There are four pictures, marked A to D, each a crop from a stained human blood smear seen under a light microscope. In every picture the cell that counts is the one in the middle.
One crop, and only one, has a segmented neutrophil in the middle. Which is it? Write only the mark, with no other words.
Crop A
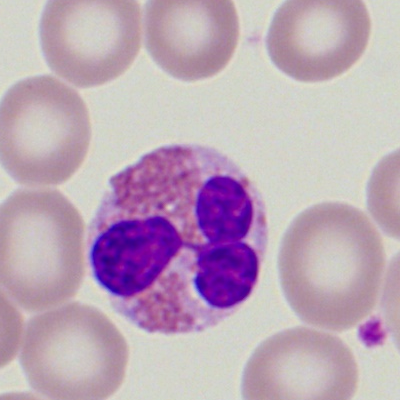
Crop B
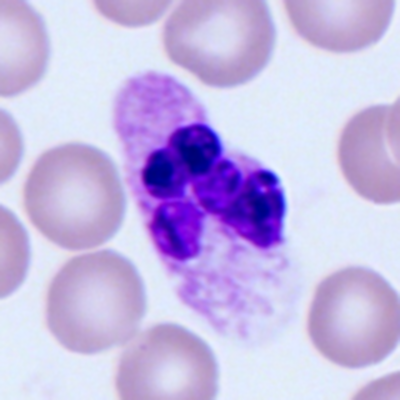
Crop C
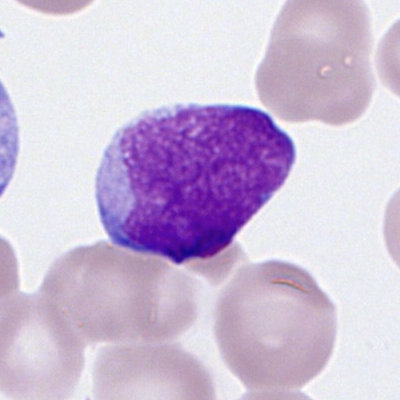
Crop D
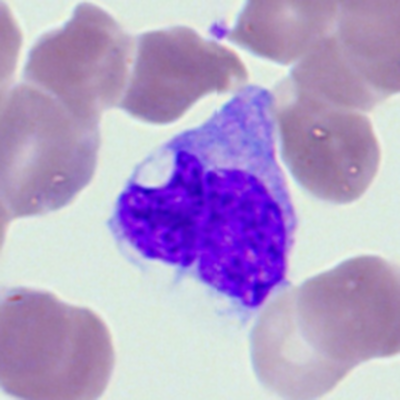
B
